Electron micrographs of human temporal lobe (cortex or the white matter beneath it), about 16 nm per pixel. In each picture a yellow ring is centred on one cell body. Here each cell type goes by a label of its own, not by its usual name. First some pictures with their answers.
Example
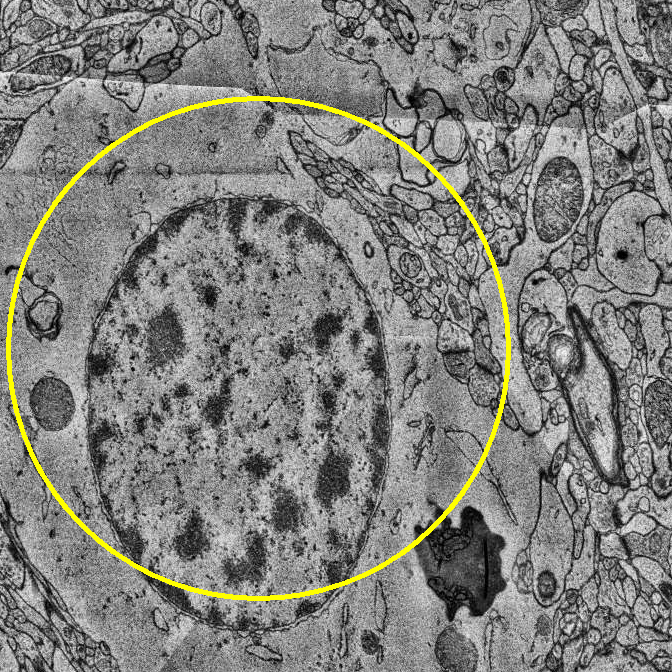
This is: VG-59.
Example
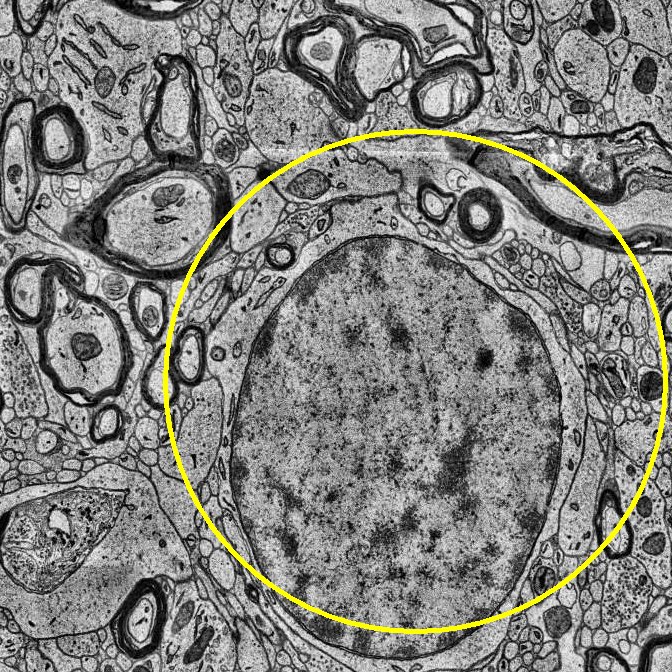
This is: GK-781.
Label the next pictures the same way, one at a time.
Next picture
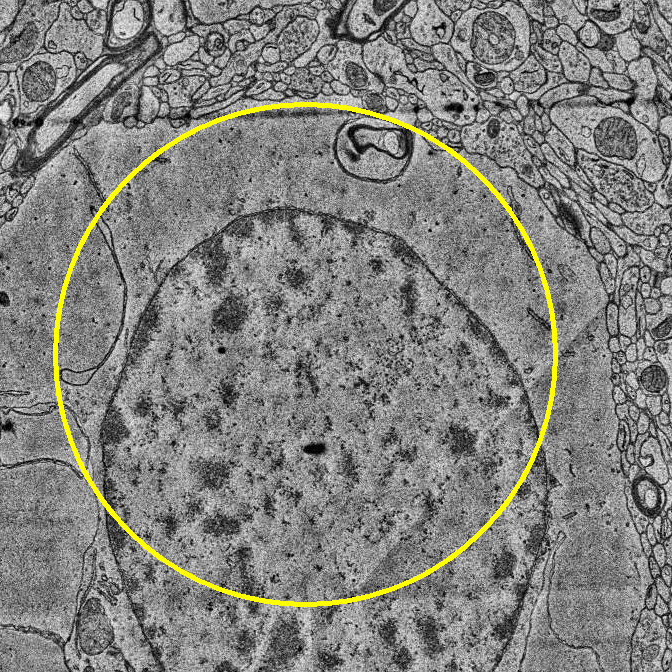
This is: VG-59.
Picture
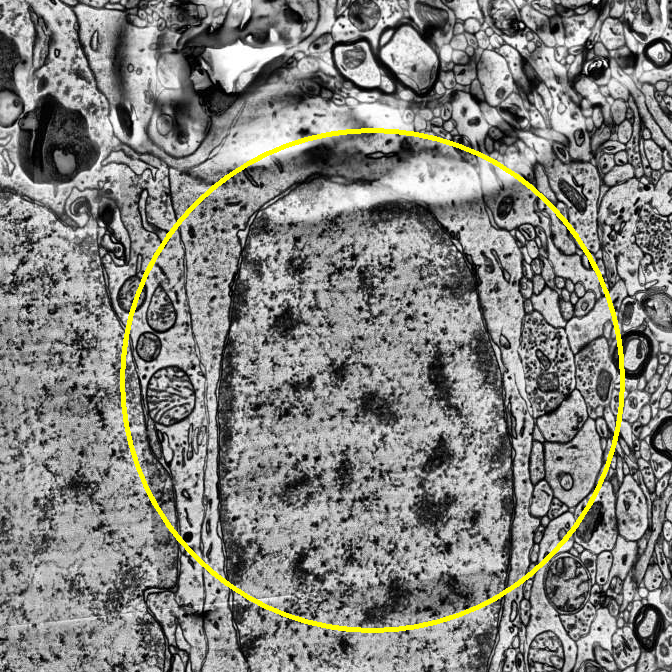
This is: GK-781.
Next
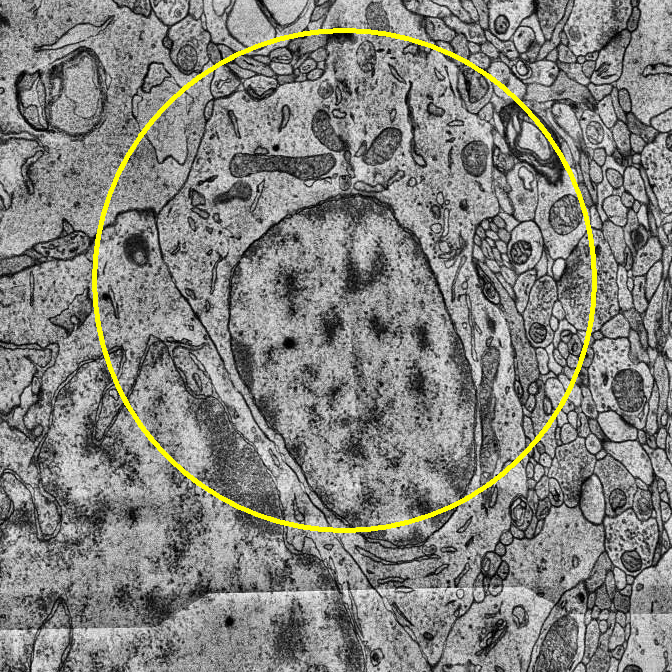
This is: GK-781.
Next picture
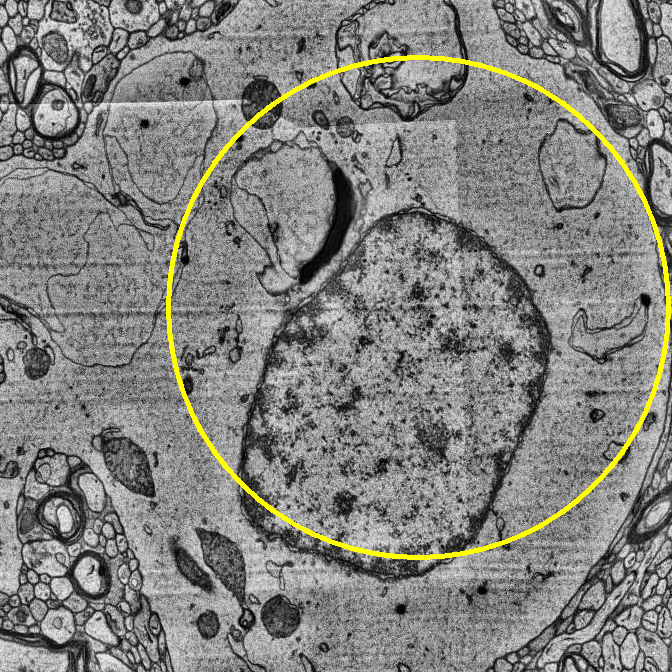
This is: VG-59.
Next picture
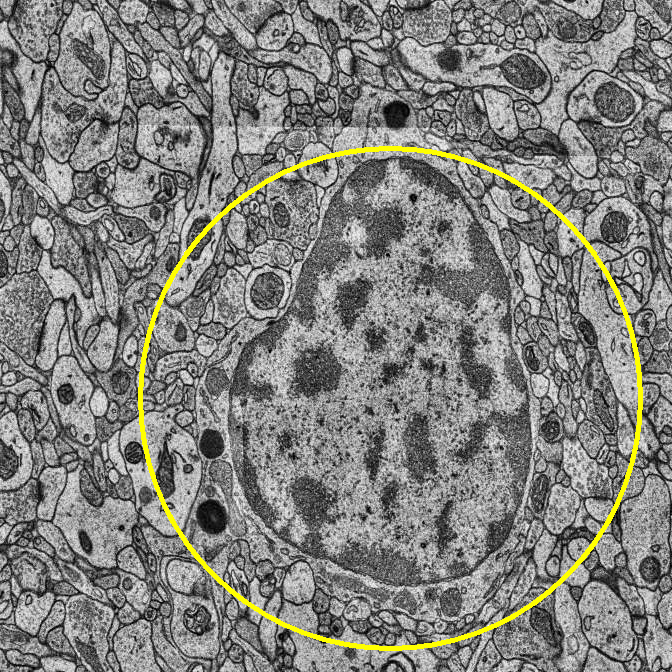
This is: GK-781.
